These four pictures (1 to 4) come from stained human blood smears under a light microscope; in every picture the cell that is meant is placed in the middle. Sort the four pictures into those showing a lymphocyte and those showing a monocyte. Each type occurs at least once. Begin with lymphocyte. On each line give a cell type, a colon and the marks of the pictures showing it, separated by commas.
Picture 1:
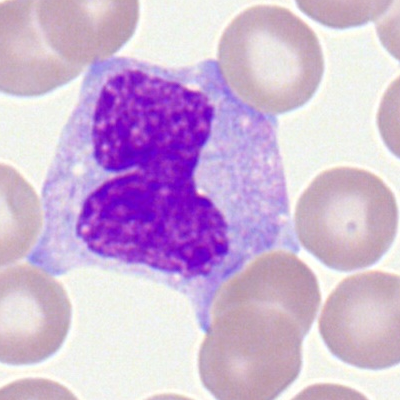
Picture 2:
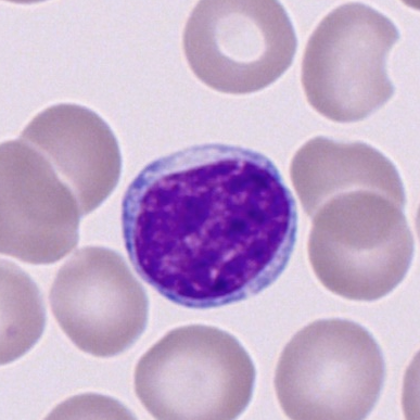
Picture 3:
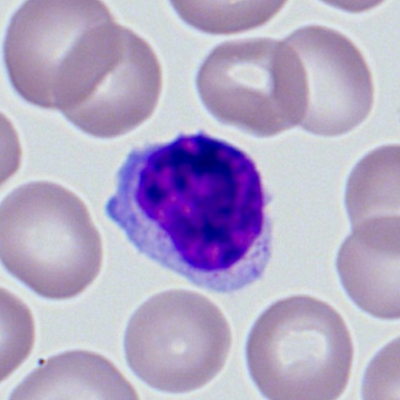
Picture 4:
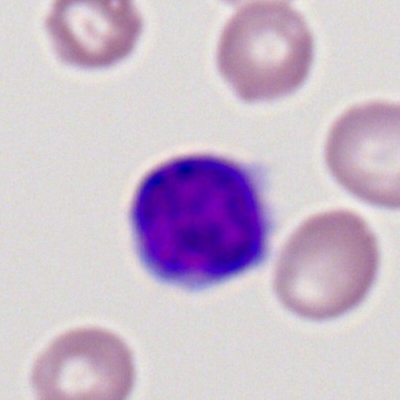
lymphocyte: 2, 3, 4
monocyte: 1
